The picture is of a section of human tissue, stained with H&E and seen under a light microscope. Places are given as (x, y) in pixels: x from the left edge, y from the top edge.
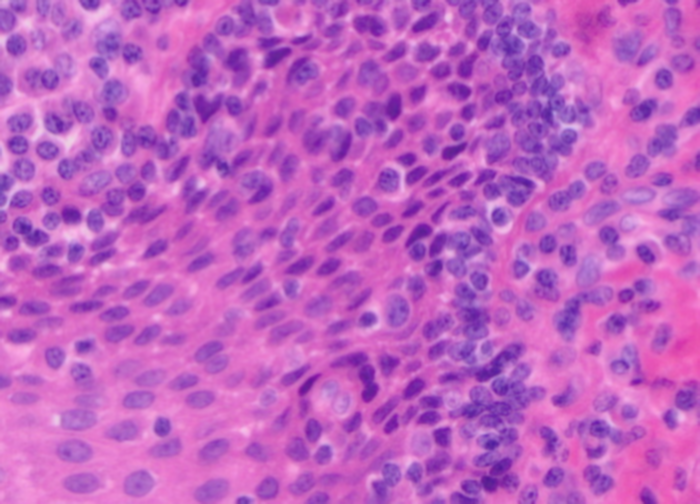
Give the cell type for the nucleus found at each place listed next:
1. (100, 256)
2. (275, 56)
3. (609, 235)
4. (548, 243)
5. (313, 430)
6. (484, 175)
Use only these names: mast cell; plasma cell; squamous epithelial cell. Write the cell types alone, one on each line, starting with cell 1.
squamous epithelial cell
squamous epithelial cell
plasma cell
plasma cell
squamous epithelial cell
squamous epithelial cell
